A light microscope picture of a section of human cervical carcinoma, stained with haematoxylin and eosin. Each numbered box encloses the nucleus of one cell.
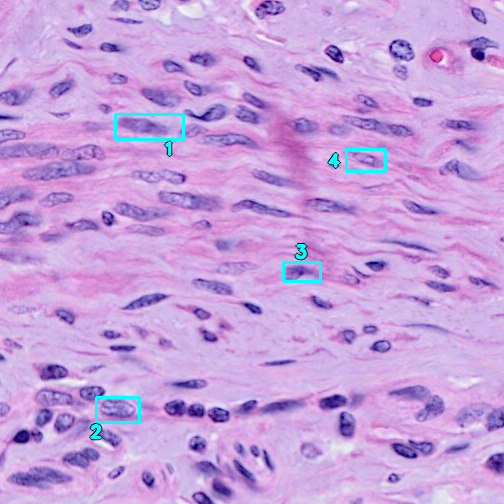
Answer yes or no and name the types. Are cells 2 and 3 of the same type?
No, cell 2 is an endothelial cell, with cell 3 being a smooth muscle cell.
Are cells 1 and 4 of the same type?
Yes, going by number, cells 1 and 4 are both smooth muscle cells.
